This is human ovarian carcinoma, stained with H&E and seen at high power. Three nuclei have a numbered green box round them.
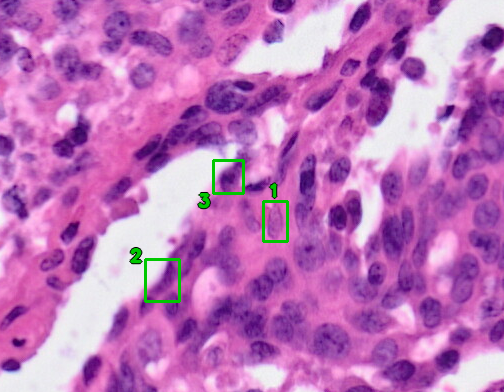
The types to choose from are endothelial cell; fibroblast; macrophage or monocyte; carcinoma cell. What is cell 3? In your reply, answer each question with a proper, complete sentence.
Cell 3 of the marked set is a carcinoma cell.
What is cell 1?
In this section, number 1 marks an endothelial cell.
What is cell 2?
Cell 2 of the marked set is a carcinoma cell.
